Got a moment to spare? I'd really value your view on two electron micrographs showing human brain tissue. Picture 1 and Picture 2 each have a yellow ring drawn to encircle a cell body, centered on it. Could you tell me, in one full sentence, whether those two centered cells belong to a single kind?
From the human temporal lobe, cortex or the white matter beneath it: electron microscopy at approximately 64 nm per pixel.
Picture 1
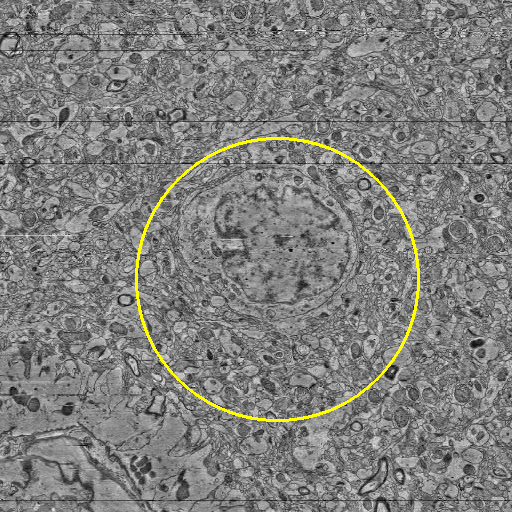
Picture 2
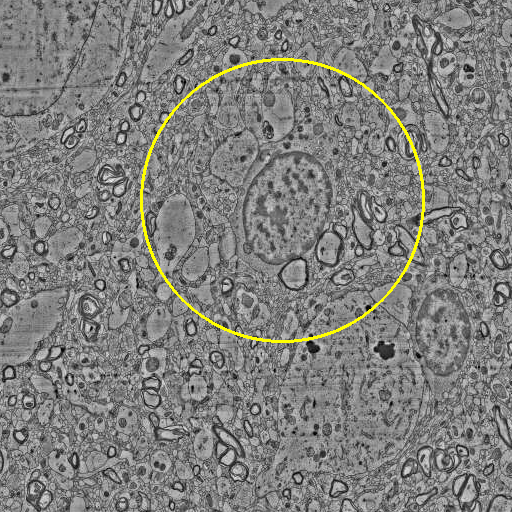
No, the two centered cells in Picture 1 and Picture 2 are of two kinds.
